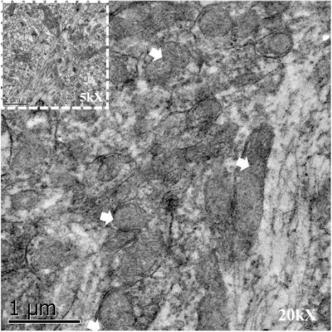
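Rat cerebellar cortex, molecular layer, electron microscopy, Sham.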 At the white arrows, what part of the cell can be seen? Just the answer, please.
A: mitochondrial network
